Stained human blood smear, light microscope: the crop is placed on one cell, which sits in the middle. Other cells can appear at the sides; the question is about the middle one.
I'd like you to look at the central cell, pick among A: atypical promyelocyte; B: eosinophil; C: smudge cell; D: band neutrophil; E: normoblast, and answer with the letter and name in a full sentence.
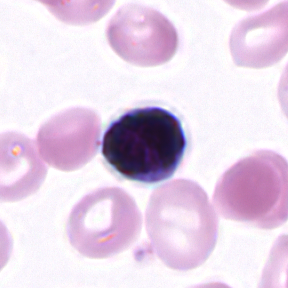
Option E is correct; the cell in the middle is a normoblast.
